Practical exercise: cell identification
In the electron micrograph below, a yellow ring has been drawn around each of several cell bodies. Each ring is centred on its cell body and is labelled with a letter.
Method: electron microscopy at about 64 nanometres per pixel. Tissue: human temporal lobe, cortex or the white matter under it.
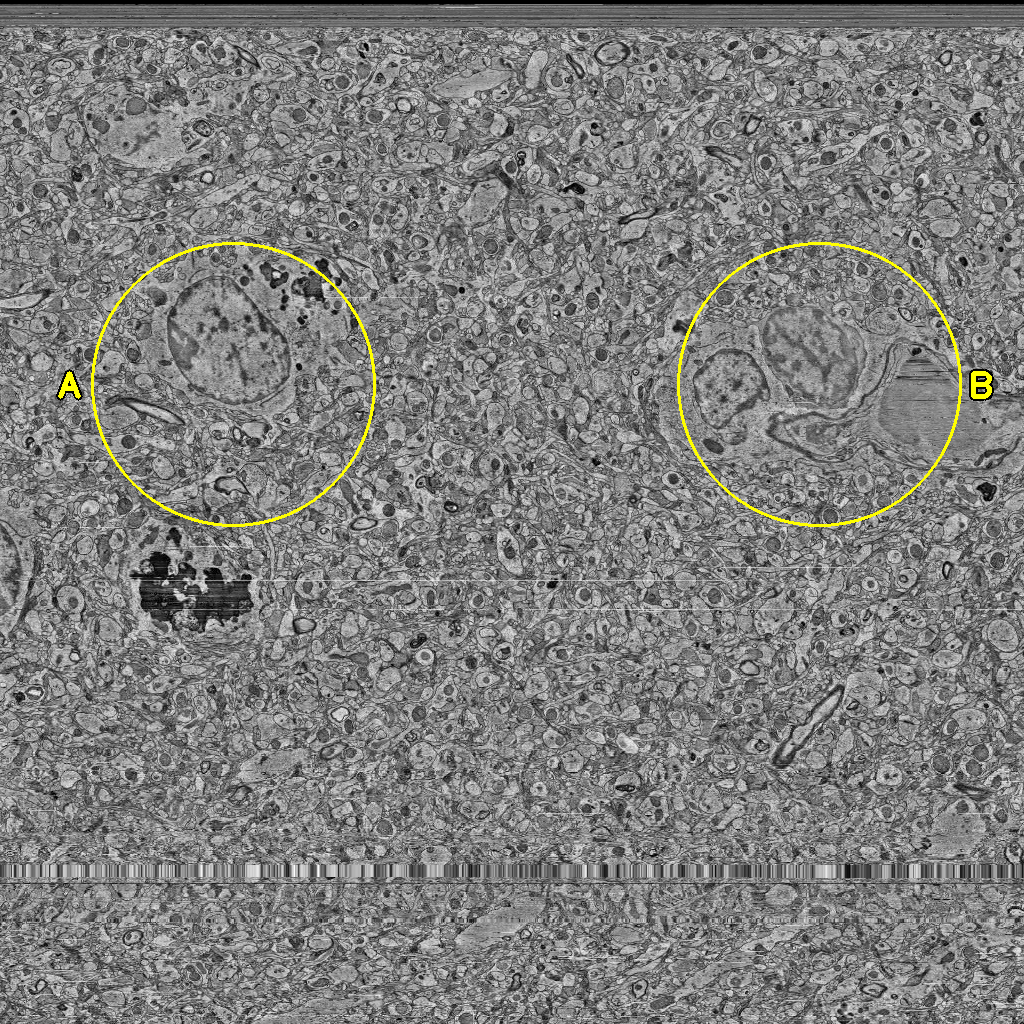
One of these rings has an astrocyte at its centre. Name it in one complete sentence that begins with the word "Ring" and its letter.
Ring A has that cell at its centre.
